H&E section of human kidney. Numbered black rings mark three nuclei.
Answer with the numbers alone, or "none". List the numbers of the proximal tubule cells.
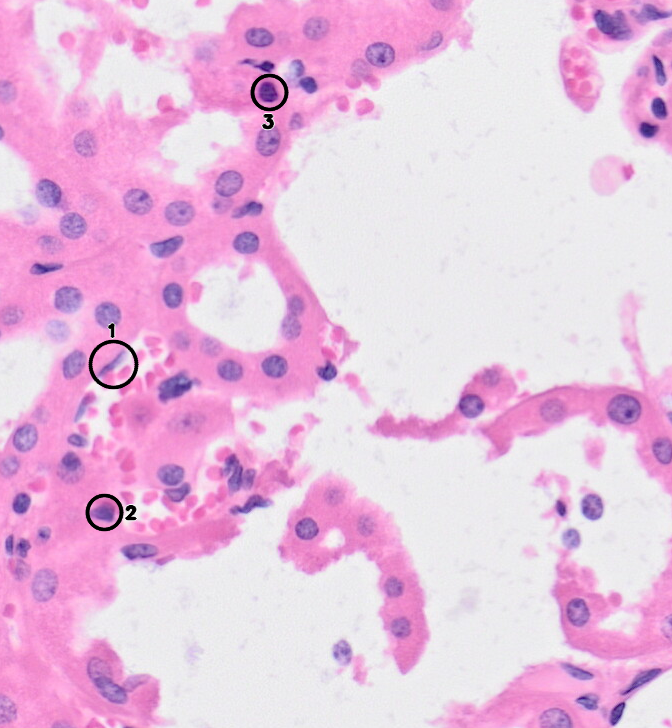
3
